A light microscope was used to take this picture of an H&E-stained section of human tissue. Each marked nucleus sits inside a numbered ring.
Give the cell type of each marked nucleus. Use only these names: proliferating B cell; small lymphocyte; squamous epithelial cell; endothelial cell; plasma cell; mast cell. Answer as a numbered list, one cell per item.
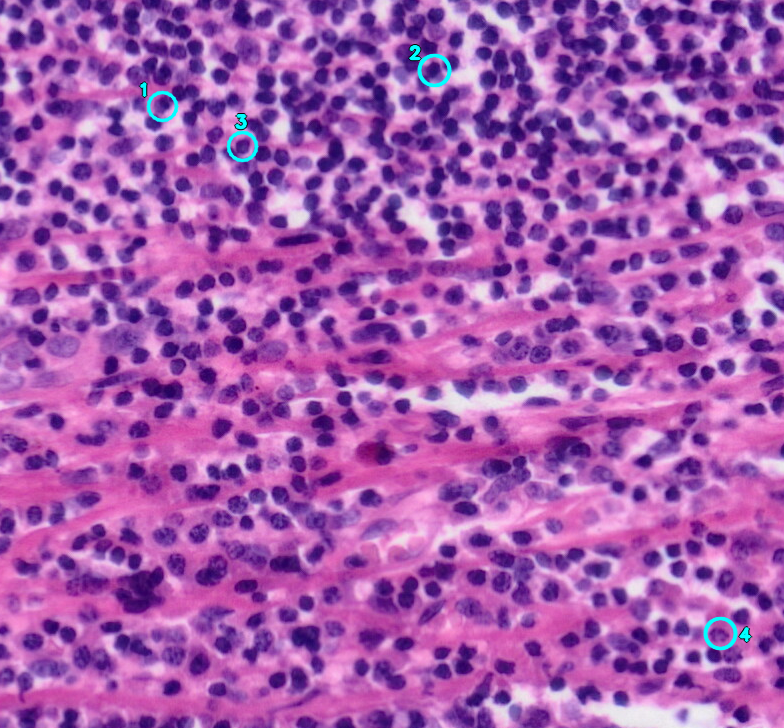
1. small lymphocyte
2. small lymphocyte
3. small lymphocyte
4. plasma cell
